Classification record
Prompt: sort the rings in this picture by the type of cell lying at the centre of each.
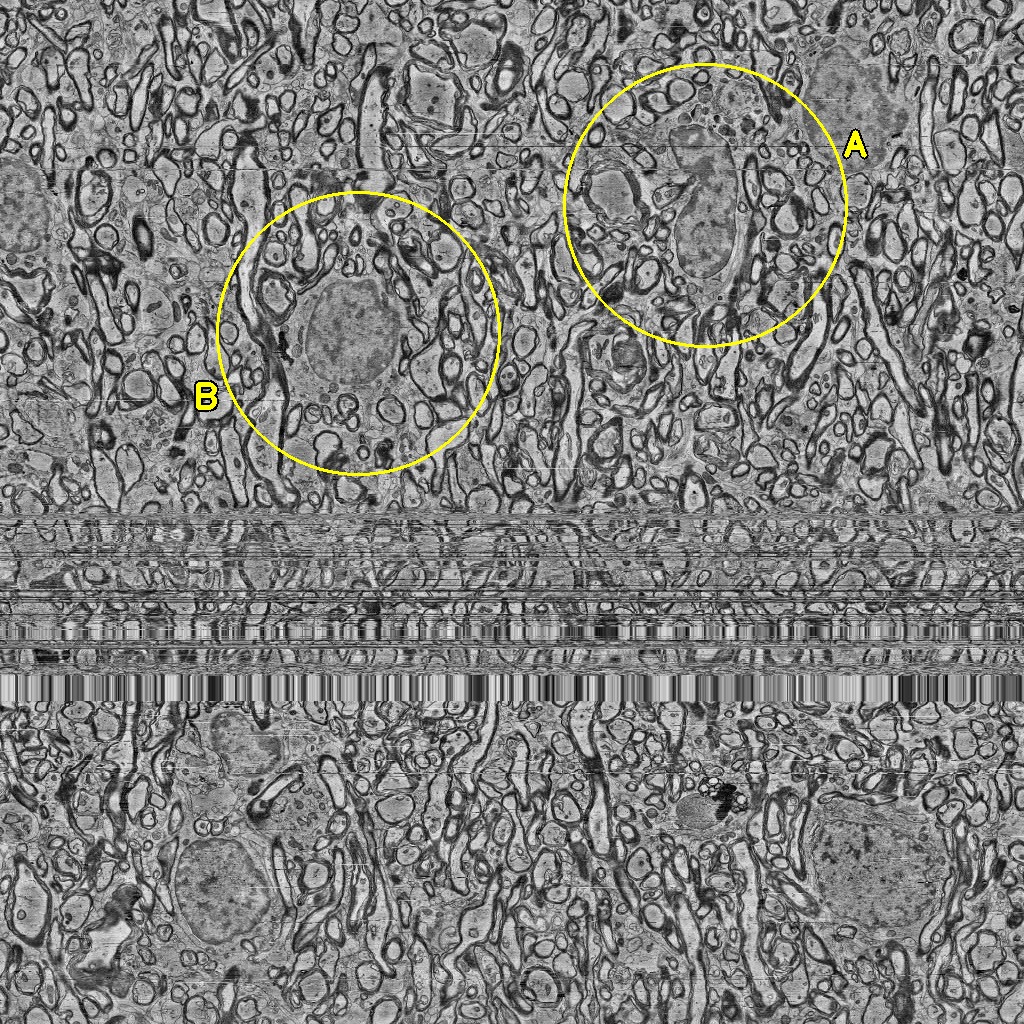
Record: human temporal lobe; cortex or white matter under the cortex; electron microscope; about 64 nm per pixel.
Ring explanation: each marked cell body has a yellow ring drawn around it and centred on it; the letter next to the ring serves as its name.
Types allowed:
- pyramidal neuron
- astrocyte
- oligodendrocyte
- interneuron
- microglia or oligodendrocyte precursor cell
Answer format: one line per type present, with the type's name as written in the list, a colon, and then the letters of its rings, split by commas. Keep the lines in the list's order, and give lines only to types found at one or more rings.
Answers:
oligodendrocyte: B
microglia or oligodendrocyte precursor cell: A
